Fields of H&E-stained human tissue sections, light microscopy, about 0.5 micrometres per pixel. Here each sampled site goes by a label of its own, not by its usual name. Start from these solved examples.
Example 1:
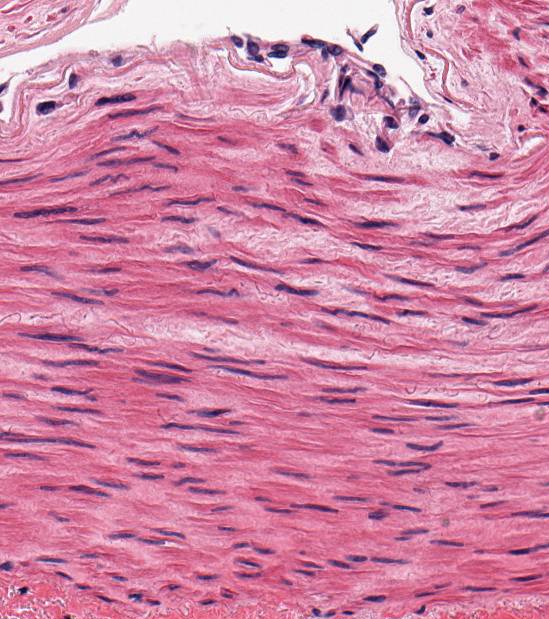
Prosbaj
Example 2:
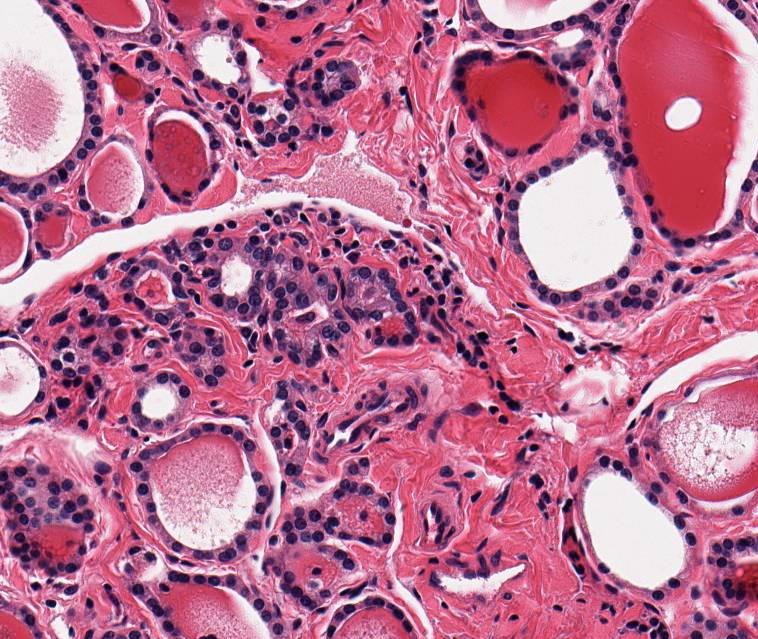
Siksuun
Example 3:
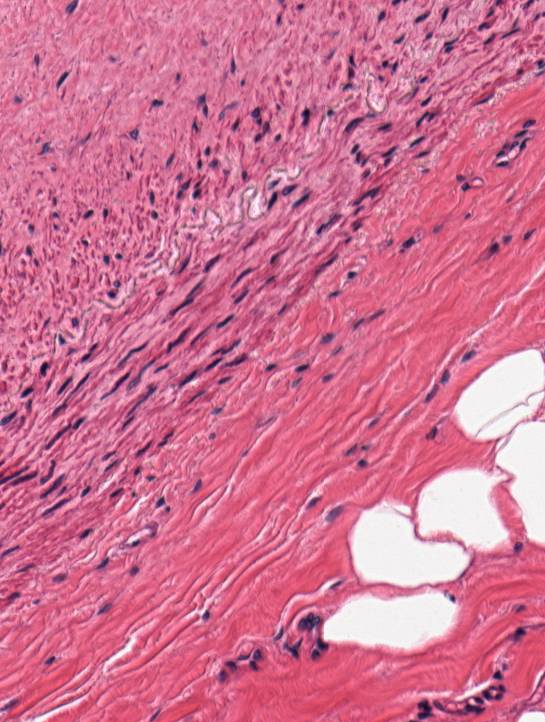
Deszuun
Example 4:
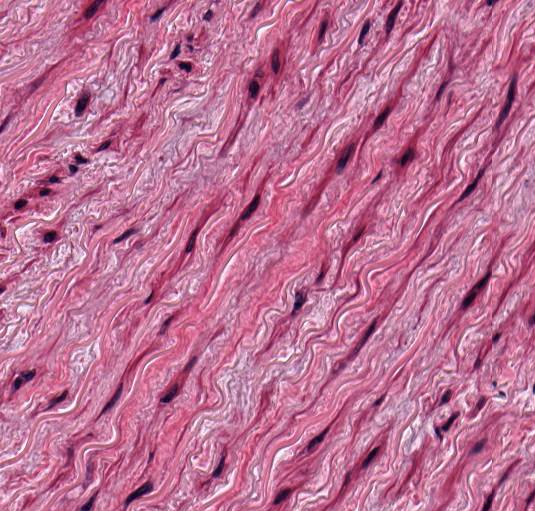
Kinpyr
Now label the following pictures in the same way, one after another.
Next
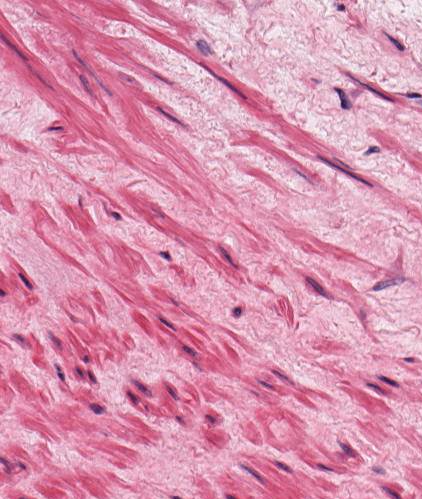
Prosbaj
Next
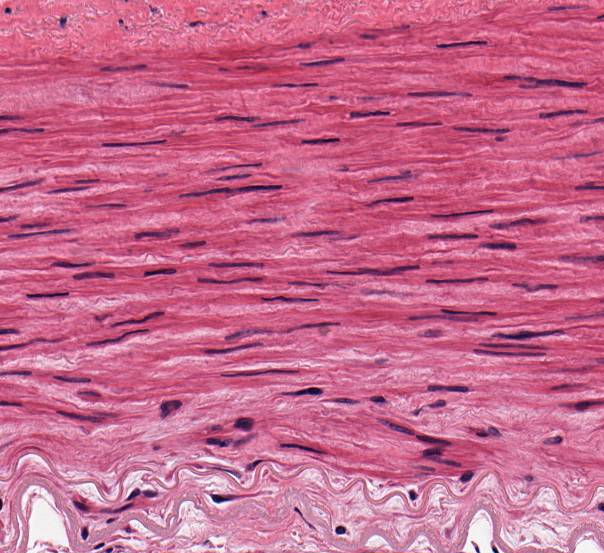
Prosbaj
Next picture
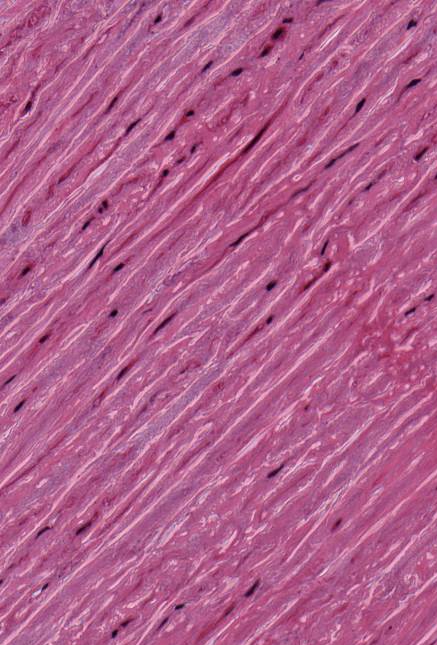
Kinpyr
